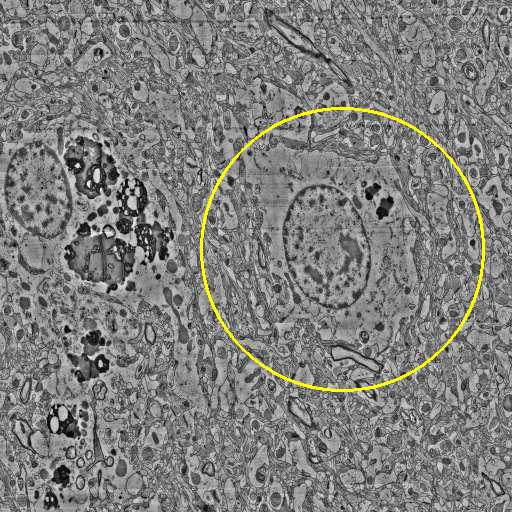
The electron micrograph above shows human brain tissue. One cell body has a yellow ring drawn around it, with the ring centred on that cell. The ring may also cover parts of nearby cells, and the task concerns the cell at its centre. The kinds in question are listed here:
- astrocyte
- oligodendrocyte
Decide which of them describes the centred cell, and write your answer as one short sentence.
The centred cell is an astrocyte.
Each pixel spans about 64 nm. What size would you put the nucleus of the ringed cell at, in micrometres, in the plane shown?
In this plane, approximately 8 by 5 micrometers.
